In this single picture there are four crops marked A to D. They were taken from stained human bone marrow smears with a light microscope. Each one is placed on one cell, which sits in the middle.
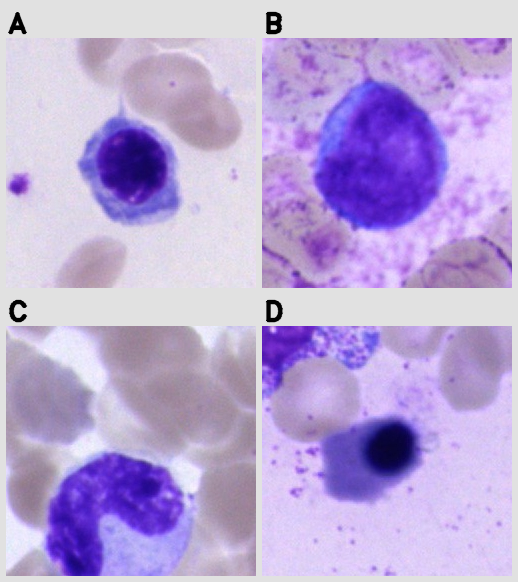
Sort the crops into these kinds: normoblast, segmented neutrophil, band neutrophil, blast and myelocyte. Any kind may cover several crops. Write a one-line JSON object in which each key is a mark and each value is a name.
{"A": "normoblast", "B": "blast", "C": "band neutrophil", "D": "normoblast"}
